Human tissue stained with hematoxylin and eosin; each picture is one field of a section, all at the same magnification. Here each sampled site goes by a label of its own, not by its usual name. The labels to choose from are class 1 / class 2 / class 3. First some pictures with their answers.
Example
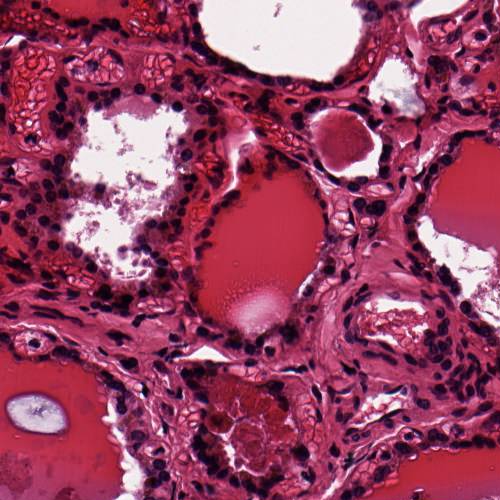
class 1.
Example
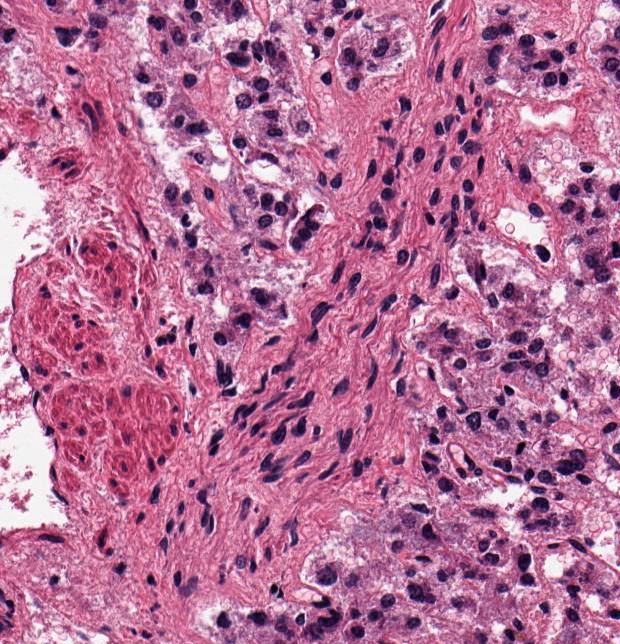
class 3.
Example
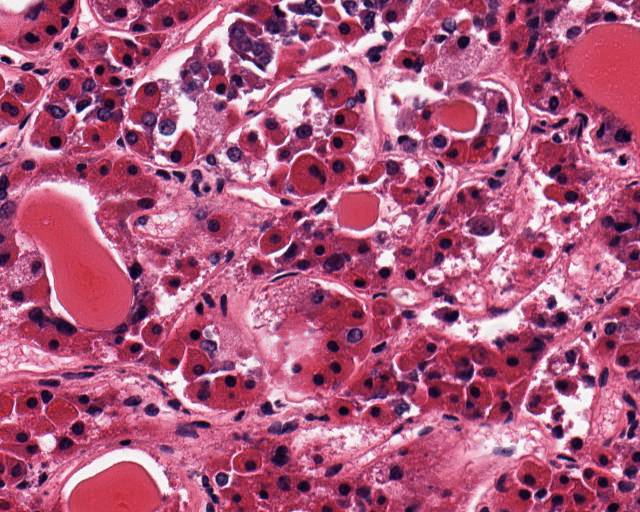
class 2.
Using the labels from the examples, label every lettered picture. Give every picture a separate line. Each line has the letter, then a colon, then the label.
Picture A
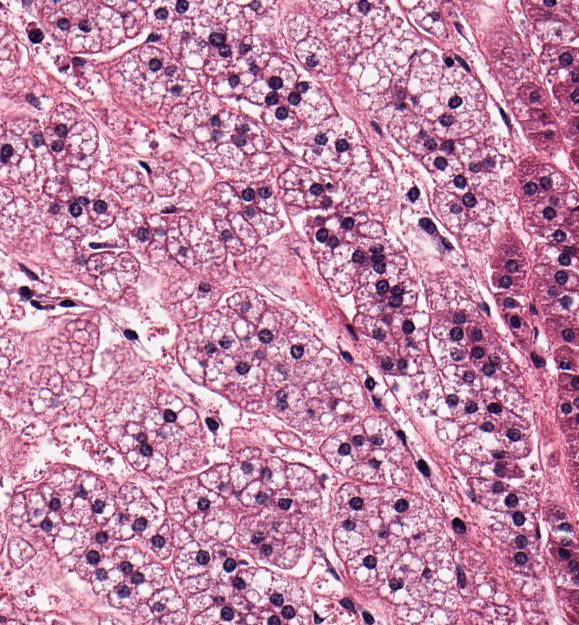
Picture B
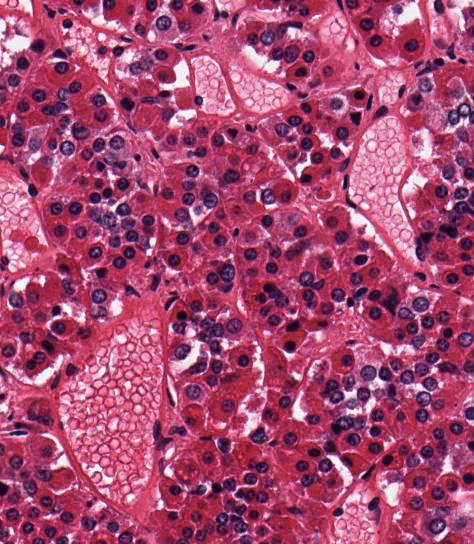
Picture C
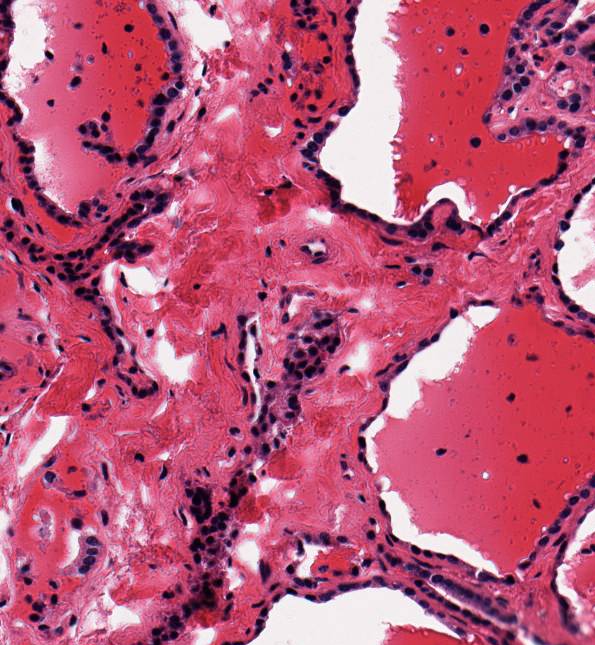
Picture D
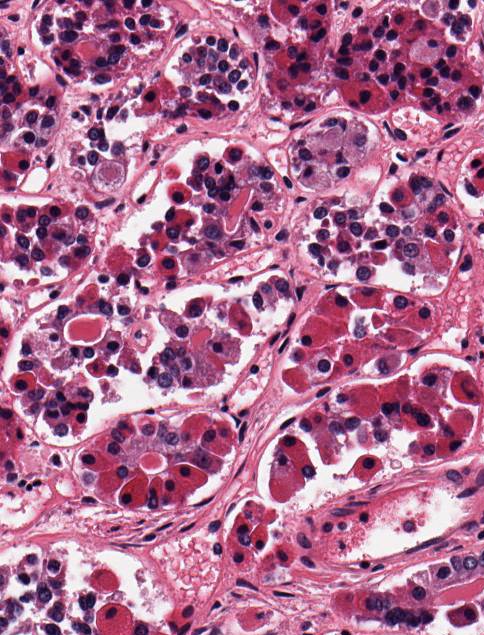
A: class 3.
B: class 2.
C: class 1.
D: class 2.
